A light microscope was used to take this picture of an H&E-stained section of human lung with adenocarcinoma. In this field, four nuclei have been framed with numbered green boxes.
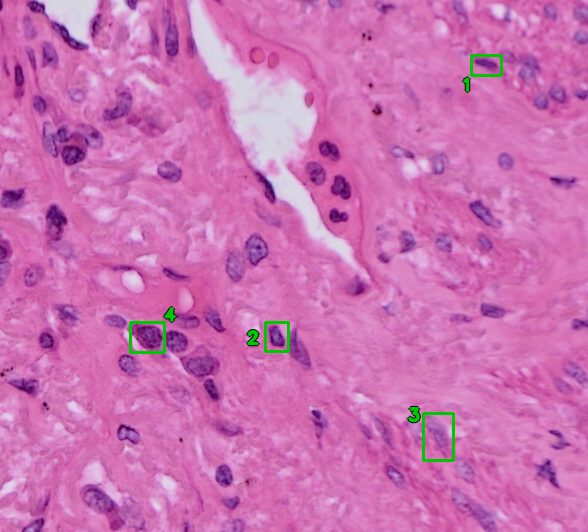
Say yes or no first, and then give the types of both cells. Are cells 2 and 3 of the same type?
No, cell 2 is a mast cell, but cell 3 is a smooth muscle cell or pericyte.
